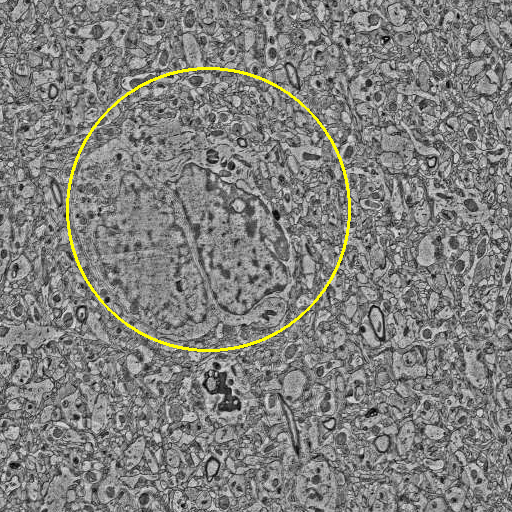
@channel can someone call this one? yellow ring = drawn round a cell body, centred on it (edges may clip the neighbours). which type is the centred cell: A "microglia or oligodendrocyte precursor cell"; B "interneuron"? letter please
A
